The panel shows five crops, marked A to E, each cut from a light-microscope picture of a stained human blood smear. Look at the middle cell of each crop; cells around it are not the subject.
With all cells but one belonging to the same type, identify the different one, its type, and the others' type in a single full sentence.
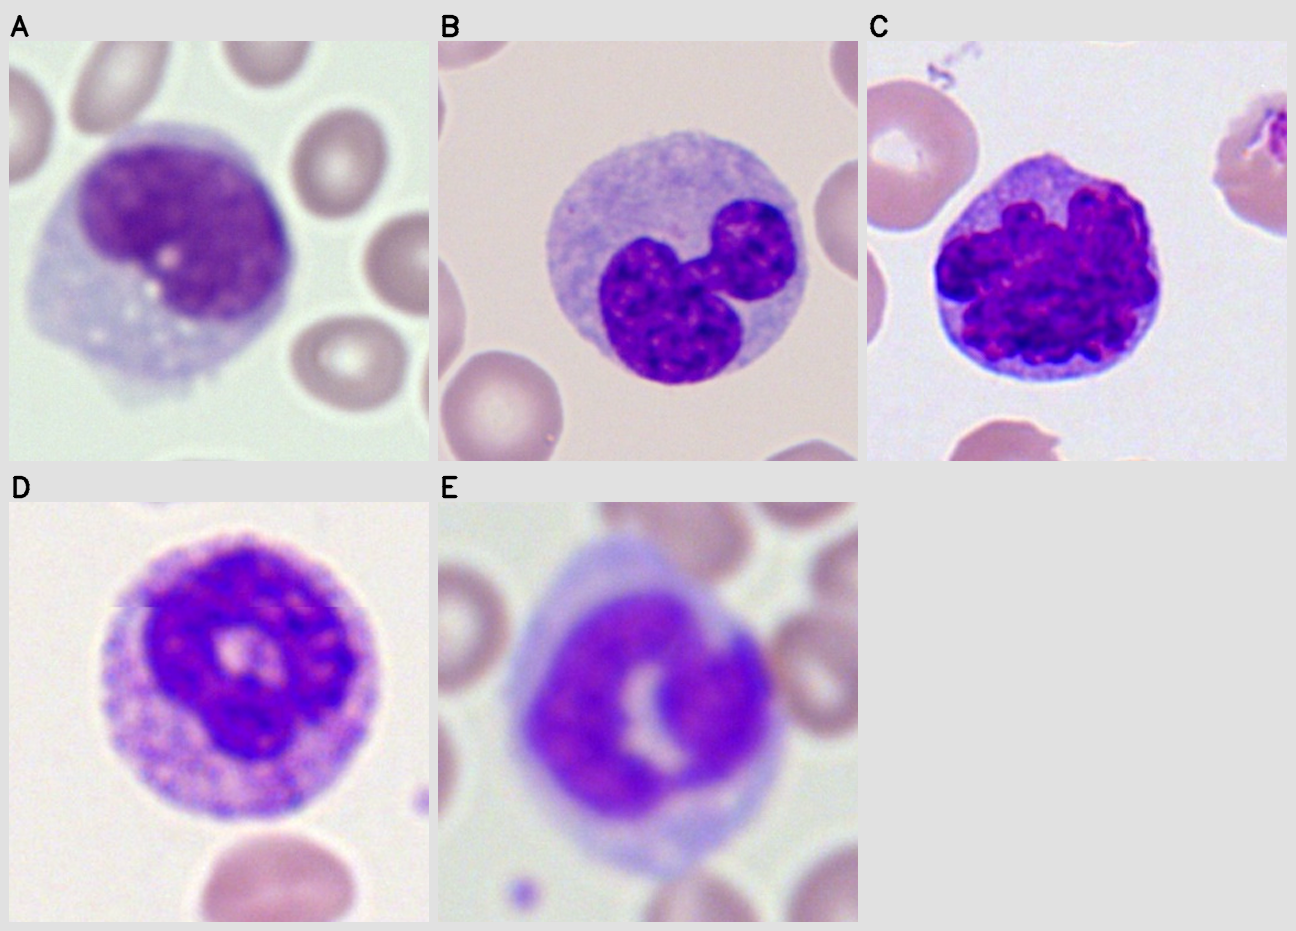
In contrast to the other crops, all of which show monocytes, crop D shows a band neutrophil.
